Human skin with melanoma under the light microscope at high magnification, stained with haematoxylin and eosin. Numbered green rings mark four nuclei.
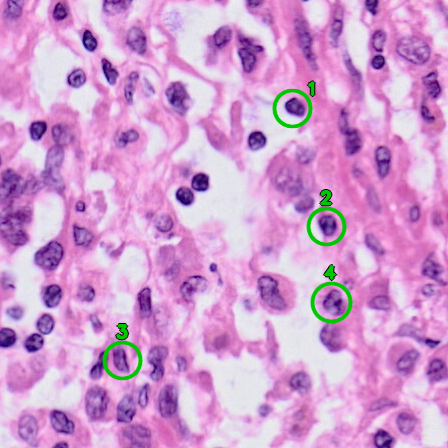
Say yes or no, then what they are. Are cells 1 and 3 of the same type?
No, cell 1 is a lymphocyte and cell 3 is a macrophage or monocyte.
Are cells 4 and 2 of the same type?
No, cell 4 is a macrophage or monocyte and cell 2 is a lymphocyte.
